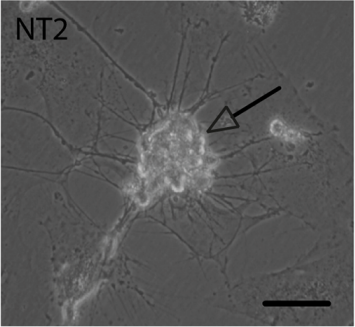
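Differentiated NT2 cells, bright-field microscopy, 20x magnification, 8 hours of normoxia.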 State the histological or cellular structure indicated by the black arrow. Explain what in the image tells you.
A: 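Ganglion-like clusters. A dense rounded aggregate of many cell bodies sits in the centre. Numerous fine processes radiate outward from the aggregate.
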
